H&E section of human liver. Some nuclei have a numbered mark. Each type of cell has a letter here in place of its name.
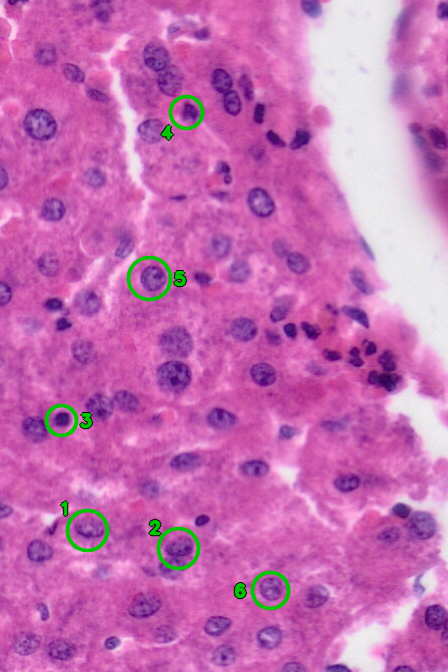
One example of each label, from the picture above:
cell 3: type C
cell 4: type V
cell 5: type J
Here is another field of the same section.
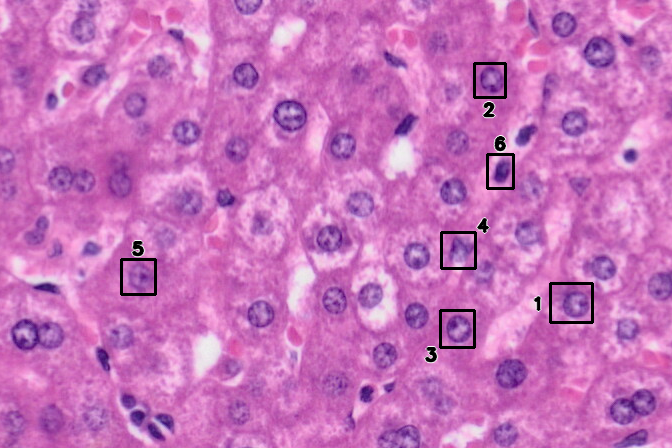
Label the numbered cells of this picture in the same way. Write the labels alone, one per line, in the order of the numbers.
type J
type J
type J
type V
type J
type C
